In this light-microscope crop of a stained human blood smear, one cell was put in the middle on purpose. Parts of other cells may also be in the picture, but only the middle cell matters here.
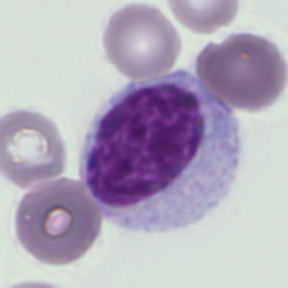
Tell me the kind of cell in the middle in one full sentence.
This crop has a myelocyte at its centre.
